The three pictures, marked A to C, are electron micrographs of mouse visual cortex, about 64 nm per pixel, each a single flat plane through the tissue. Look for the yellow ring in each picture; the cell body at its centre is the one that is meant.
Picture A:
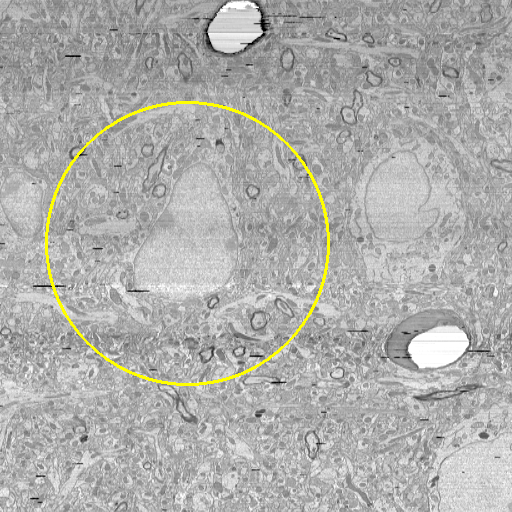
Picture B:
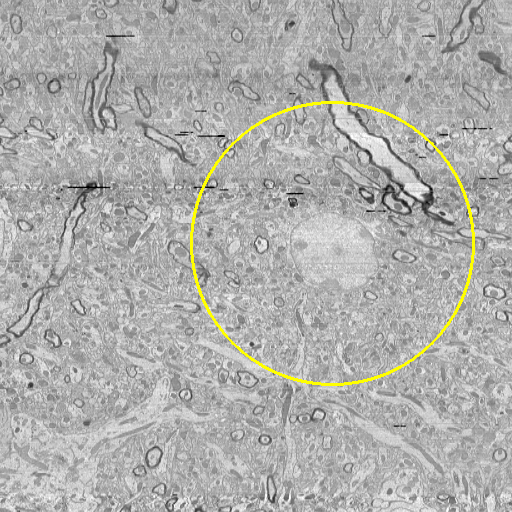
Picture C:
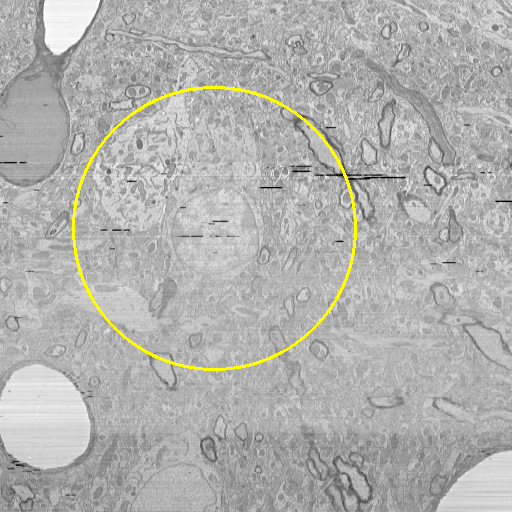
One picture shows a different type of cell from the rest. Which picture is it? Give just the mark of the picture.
C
